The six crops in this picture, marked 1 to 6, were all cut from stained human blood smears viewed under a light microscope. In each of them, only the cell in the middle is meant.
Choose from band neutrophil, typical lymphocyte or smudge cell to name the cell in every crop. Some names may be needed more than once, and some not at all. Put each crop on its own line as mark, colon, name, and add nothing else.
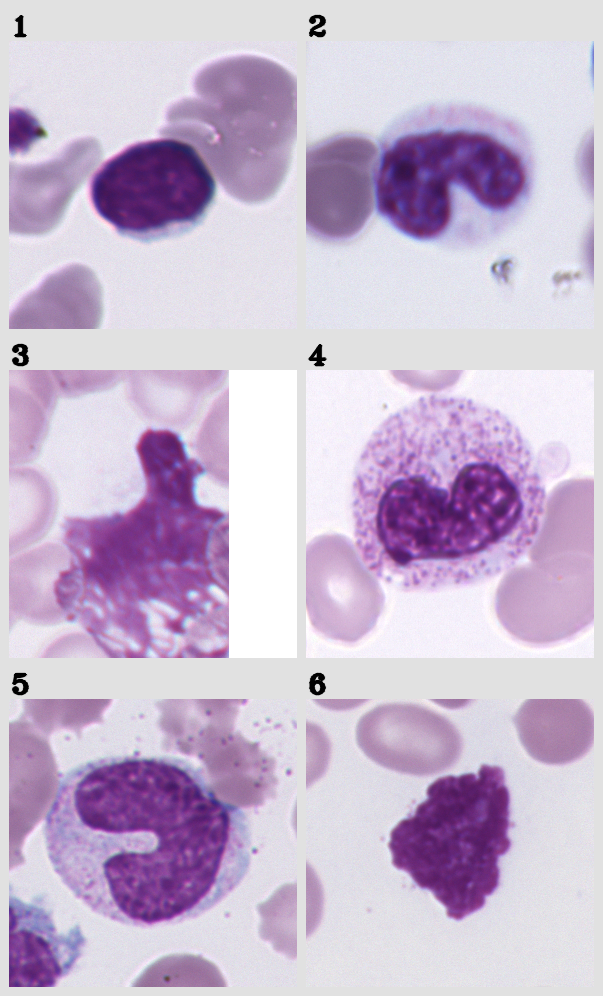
1: typical lymphocyte
2: band neutrophil
3: smudge cell
4: band neutrophil
5: band neutrophil
6: smudge cell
